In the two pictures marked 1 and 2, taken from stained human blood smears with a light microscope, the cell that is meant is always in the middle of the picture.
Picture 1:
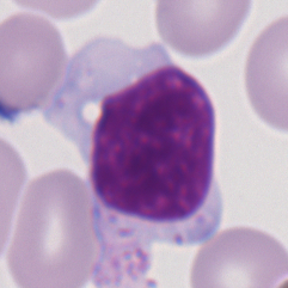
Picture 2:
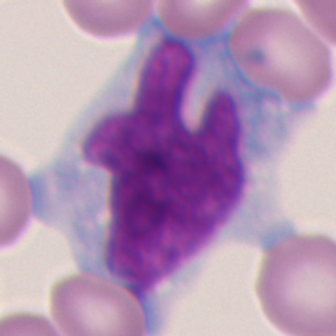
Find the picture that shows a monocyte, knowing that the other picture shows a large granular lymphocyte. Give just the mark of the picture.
2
